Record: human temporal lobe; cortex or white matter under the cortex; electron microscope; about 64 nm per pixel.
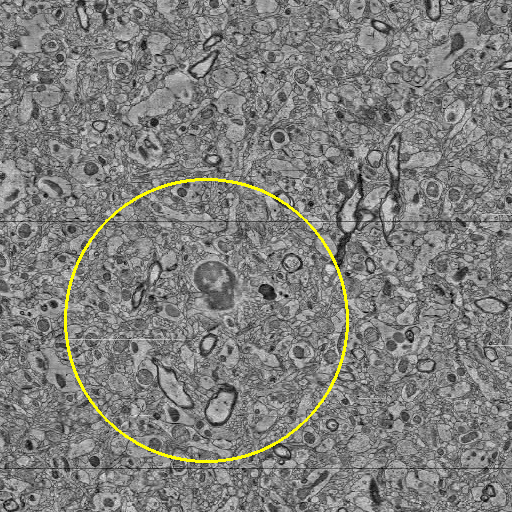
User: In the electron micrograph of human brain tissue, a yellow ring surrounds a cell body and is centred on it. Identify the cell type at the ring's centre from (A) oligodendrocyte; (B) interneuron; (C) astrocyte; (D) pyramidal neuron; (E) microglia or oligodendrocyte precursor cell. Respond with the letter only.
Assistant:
E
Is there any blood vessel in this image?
No, no blood vessel can be seen.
